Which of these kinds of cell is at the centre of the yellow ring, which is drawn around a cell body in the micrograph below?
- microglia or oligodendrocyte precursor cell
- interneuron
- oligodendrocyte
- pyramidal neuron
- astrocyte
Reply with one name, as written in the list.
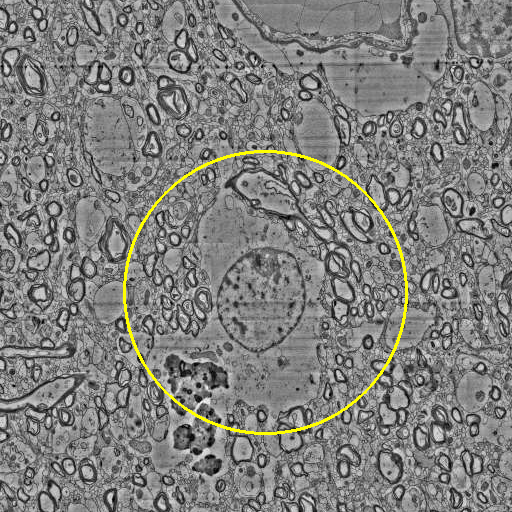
astrocyte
